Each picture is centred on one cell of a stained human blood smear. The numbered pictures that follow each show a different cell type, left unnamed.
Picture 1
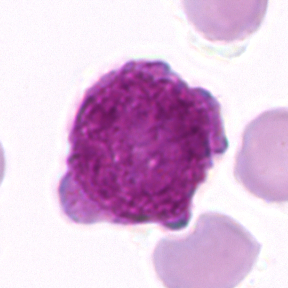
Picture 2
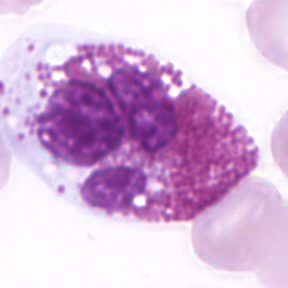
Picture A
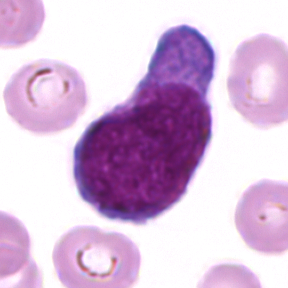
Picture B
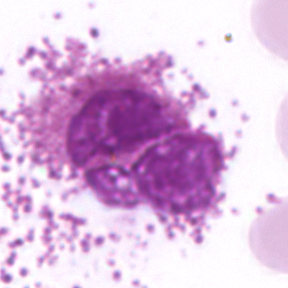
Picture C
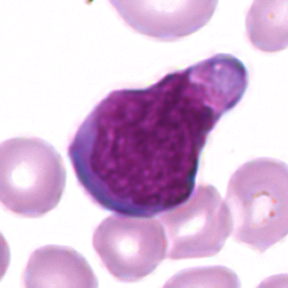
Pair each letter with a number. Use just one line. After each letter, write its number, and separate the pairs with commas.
A 1, B 2, C 1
